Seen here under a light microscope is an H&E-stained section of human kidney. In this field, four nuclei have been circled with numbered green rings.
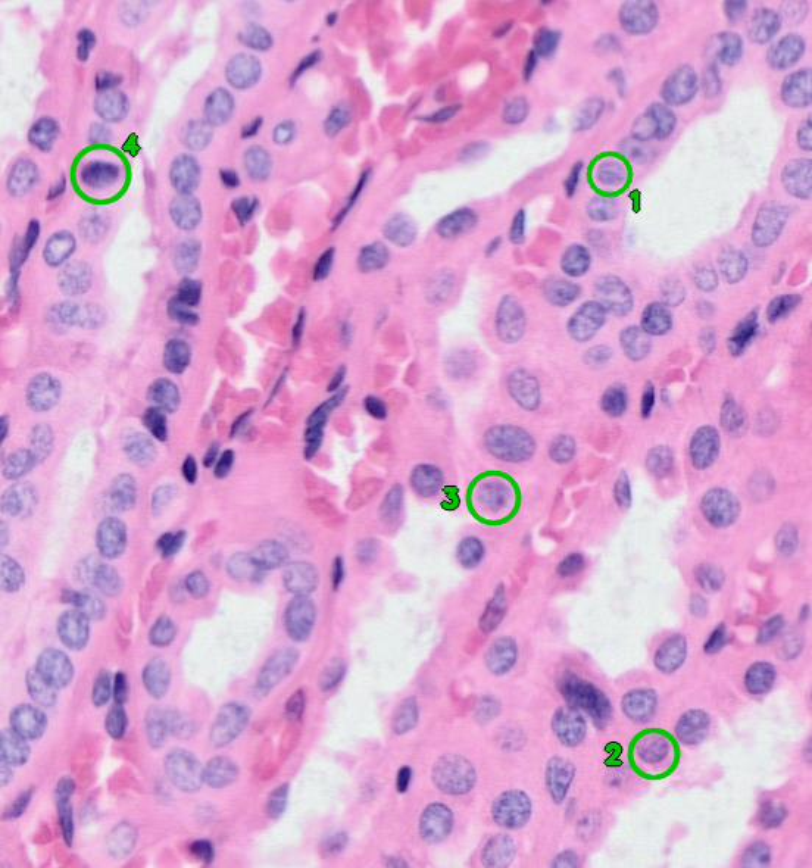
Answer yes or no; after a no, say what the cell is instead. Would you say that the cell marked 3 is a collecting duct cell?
No, it is a loop of Henle or distal tubule cell.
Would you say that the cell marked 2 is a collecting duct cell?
No, it is a loop of Henle or distal tubule cell.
